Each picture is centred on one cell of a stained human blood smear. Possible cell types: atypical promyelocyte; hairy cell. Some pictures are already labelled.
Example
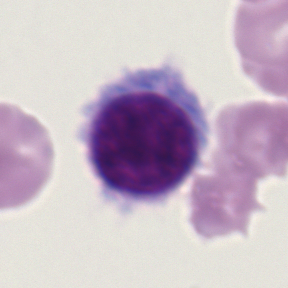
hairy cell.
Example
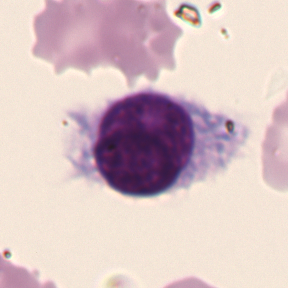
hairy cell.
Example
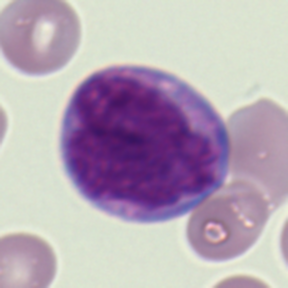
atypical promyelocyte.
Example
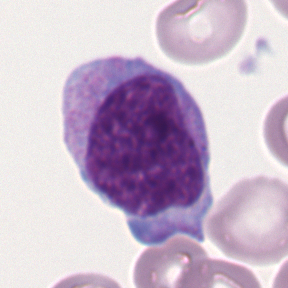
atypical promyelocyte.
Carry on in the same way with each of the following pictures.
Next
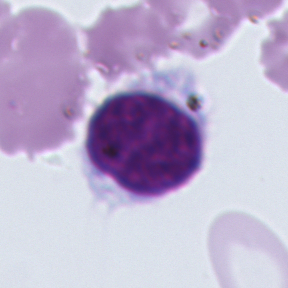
hairy cell.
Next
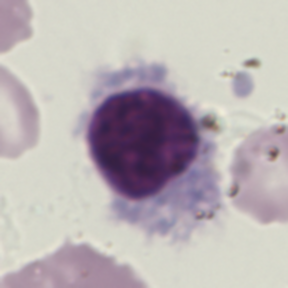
hairy cell.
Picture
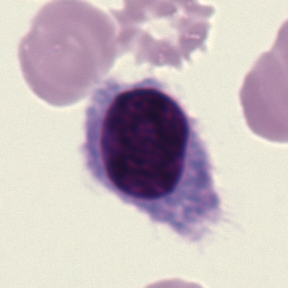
hairy cell.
